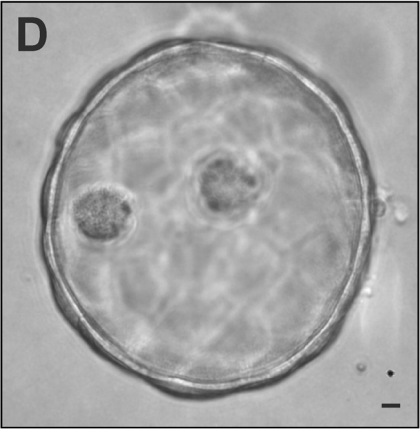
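The colony is nearly round and fills most of the field. It is bounded by a thin, sharply outlined wall with a dark, refractile edge. Its interior is clear and translucent, with faint wavy outlines of flattened cells over its surface. Two denser, rounded, granular clumps of cells lie within the outline, one near the left edge and one near the centre. The colony is hollow rather than a solid ball of cells.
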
